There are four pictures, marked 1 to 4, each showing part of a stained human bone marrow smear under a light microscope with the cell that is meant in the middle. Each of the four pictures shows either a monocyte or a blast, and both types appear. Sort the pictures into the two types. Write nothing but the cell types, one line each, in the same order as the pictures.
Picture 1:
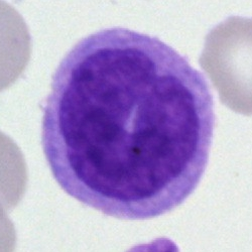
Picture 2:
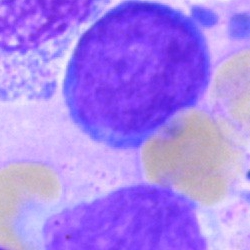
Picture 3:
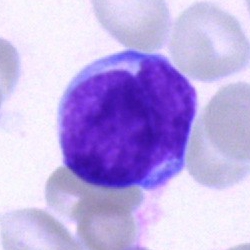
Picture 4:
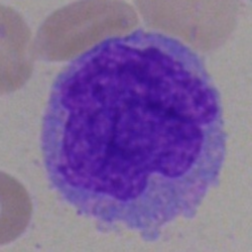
monocyte
blast
blast
monocyte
